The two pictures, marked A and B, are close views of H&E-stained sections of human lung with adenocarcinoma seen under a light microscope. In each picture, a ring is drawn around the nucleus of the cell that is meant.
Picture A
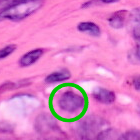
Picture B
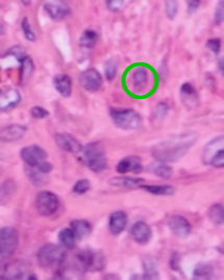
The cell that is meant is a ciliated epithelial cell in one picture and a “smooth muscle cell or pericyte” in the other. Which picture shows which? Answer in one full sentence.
In picture A the cell is a ciliated epithelial cell; in picture B, a “smooth muscle cell or pericyte”.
